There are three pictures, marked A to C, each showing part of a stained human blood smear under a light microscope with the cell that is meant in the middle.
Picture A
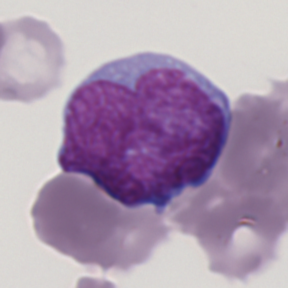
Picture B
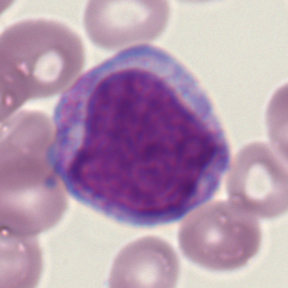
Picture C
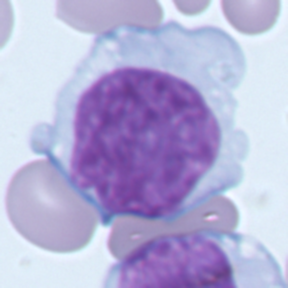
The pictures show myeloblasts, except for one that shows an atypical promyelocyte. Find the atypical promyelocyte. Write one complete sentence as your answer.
The picture with the atypical promyelocyte is B.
